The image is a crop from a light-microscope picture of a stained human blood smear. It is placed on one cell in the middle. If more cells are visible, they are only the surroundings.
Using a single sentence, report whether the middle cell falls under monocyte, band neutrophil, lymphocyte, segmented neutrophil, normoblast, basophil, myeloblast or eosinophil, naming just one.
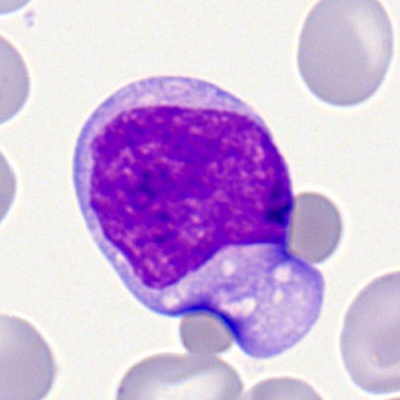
The crop shows a myeloblast in its centre.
